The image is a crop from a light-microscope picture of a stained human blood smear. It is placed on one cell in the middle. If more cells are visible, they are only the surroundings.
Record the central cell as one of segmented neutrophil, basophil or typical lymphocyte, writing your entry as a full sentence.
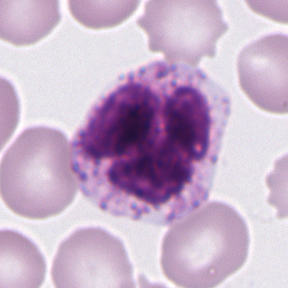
Among the cells in view, the one in the middle is a basophil.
